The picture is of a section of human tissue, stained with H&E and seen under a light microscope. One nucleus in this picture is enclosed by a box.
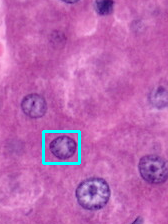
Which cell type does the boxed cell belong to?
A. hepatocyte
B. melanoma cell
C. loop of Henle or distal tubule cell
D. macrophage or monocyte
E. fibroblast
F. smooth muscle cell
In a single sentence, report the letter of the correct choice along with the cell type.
Here the boxed cell is a hepatocyte; pick option A.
